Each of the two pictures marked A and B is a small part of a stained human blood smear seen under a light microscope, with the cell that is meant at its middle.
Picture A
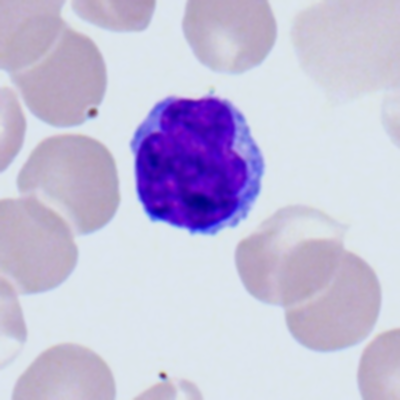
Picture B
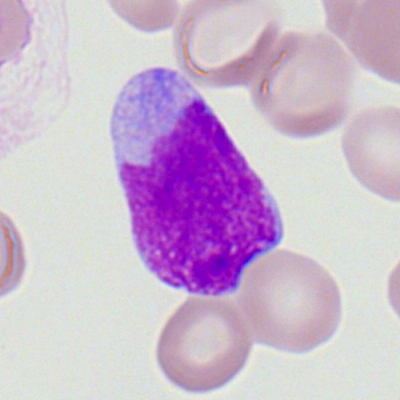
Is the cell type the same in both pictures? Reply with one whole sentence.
No, they differ: the cell is a lymphocyte in picture A and a myeloblast in picture B.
